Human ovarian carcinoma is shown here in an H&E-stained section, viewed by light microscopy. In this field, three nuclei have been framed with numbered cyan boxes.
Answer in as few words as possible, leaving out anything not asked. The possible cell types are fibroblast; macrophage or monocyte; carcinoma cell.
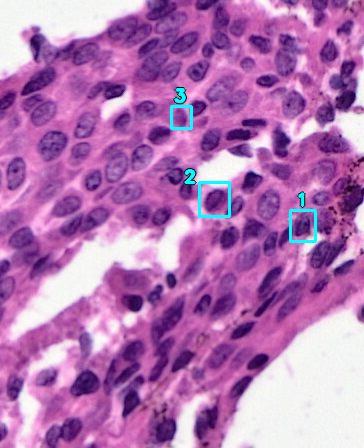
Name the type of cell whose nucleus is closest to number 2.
macrophage or monocyte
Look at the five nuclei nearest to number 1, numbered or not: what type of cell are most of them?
macrophage or monocyte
